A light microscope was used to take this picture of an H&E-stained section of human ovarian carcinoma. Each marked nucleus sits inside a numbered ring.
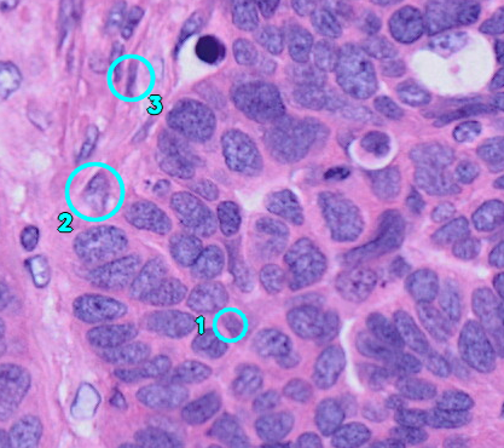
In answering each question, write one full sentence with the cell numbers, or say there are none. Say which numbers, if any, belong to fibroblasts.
The cells given the numbers 2 and 3 are fibroblasts.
